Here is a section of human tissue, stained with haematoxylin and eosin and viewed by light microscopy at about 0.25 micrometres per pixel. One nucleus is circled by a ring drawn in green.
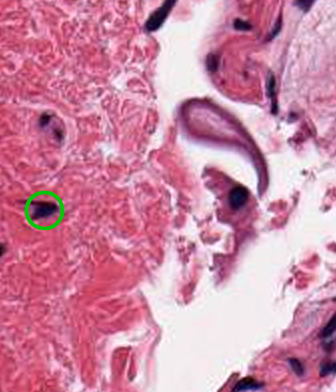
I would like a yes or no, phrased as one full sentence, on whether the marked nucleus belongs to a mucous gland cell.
No, instead of being part of a mucous gland cell, the marked nucleus is part of a supporting cell.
